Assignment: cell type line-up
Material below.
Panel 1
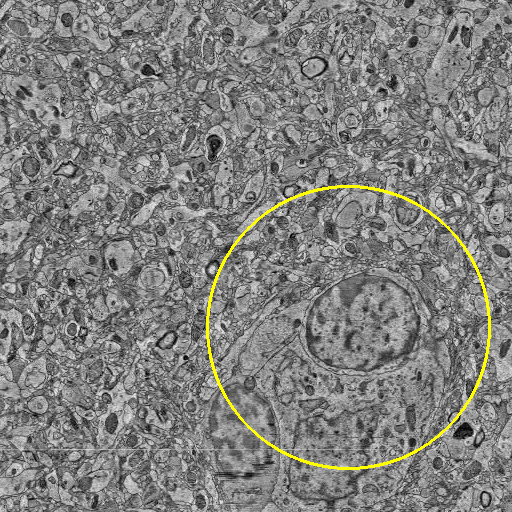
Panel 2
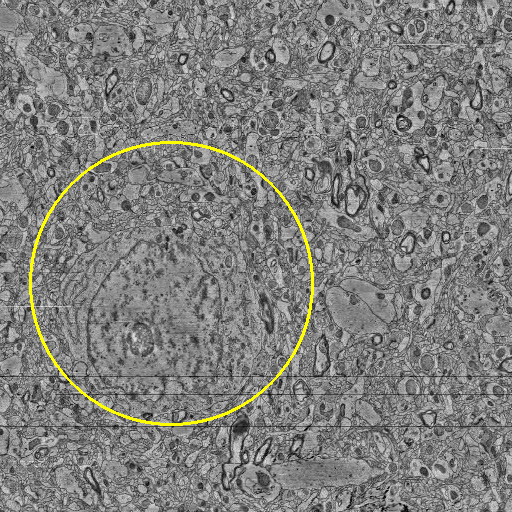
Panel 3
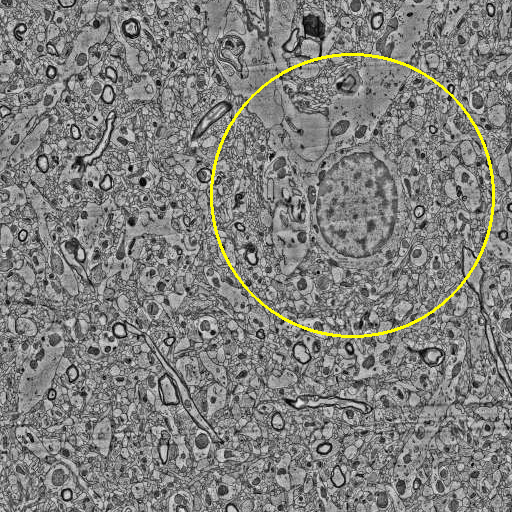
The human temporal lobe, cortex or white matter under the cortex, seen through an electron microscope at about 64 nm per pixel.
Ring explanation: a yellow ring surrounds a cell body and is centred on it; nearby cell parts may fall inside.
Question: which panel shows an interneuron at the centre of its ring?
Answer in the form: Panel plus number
Panel 2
